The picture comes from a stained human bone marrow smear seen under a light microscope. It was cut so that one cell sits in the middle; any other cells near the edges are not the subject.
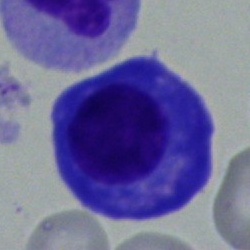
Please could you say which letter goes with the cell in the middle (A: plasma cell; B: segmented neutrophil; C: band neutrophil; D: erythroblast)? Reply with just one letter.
A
